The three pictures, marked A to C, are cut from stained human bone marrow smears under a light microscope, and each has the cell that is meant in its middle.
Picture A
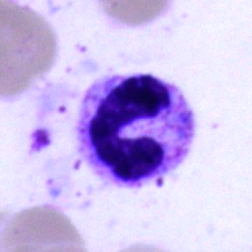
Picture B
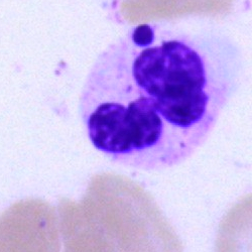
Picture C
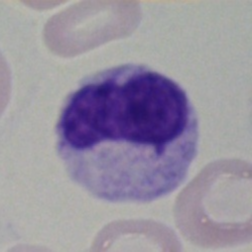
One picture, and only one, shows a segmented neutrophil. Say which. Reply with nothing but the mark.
B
